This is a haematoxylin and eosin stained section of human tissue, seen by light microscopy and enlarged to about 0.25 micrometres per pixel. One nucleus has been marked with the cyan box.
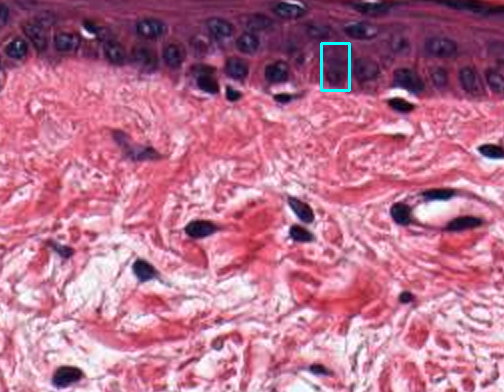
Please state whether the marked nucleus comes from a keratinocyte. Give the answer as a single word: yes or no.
yes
